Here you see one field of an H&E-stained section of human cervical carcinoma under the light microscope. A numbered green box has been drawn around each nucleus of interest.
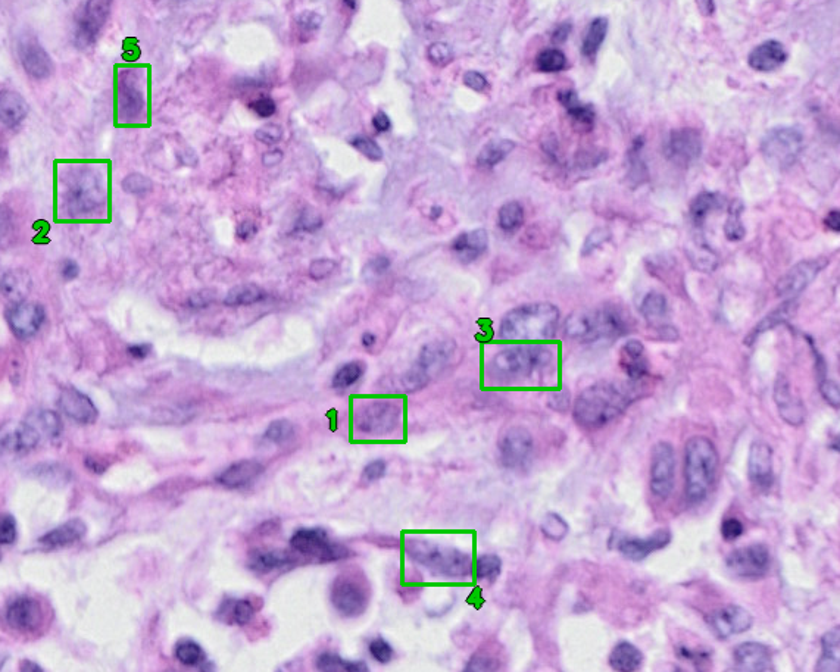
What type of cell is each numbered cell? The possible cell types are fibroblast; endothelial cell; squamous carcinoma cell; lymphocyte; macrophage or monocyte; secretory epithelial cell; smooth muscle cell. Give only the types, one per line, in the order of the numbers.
endothelial cell
fibroblast
endothelial cell
fibroblast
fibroblast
